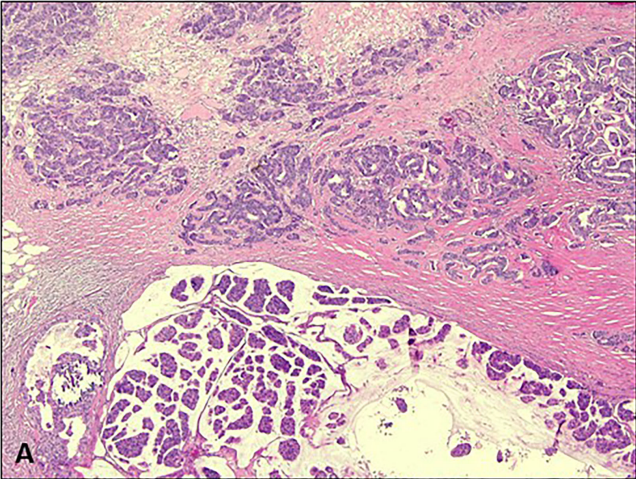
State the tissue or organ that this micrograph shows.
Invasive carcinoma.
